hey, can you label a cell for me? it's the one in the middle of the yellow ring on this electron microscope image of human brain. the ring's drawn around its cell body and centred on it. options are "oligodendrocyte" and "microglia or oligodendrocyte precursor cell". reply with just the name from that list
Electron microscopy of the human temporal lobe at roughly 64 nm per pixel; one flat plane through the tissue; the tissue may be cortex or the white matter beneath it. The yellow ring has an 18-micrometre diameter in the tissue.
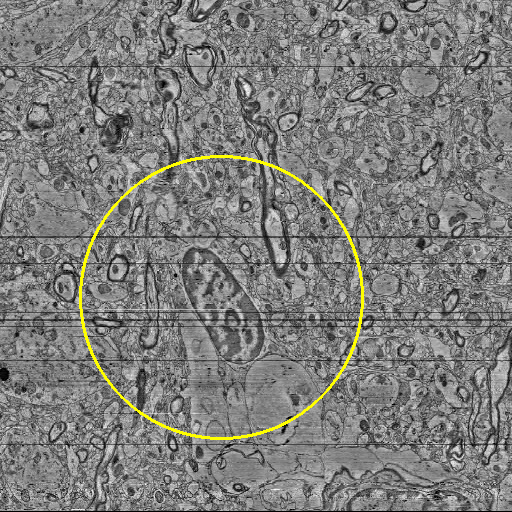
microglia or oligodendrocyte precursor cell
